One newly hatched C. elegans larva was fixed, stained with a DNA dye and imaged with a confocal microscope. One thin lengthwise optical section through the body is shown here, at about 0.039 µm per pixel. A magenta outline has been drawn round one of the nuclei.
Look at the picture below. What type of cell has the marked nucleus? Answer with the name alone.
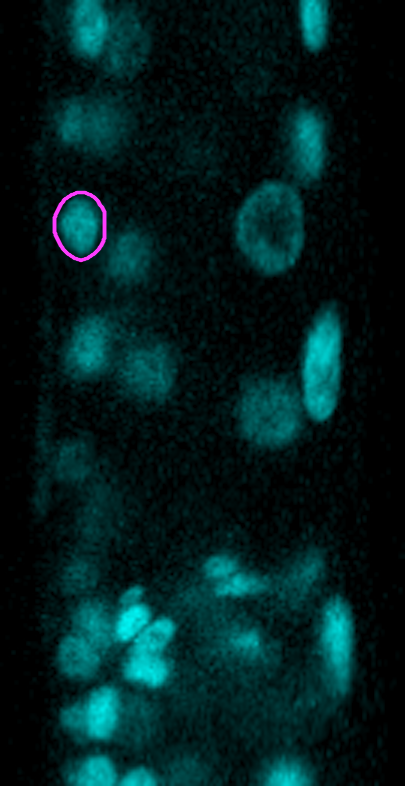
neuron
